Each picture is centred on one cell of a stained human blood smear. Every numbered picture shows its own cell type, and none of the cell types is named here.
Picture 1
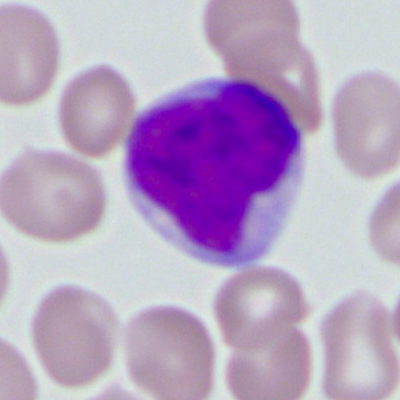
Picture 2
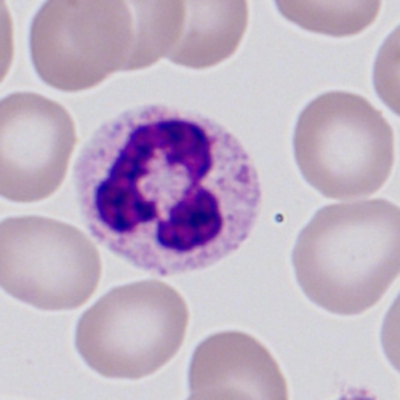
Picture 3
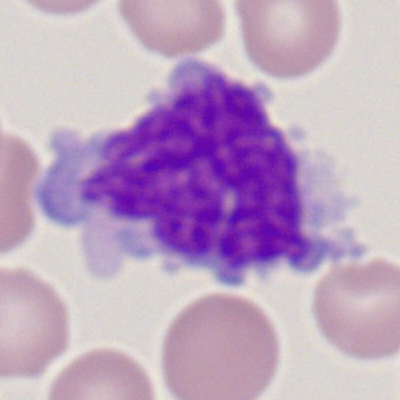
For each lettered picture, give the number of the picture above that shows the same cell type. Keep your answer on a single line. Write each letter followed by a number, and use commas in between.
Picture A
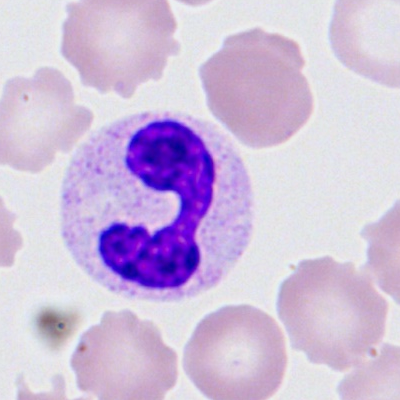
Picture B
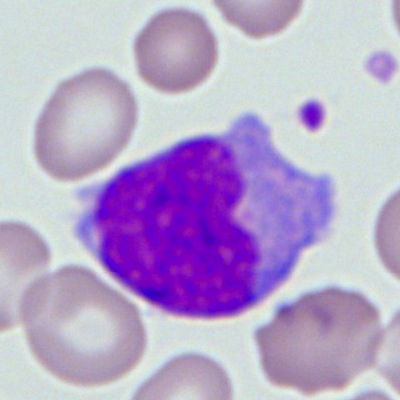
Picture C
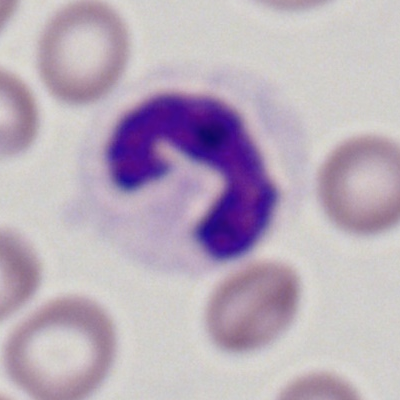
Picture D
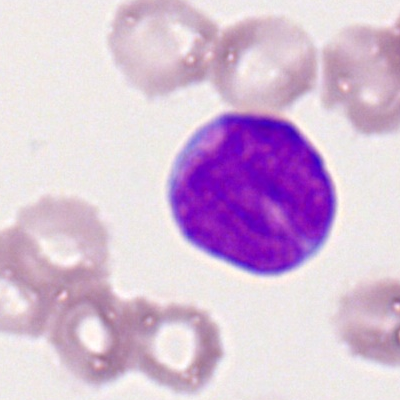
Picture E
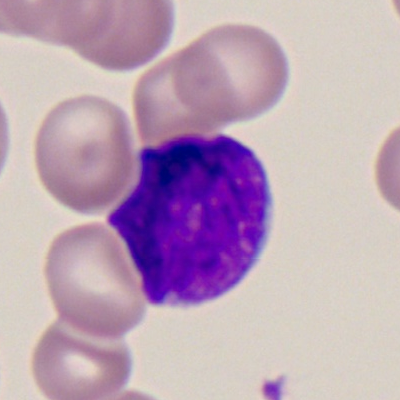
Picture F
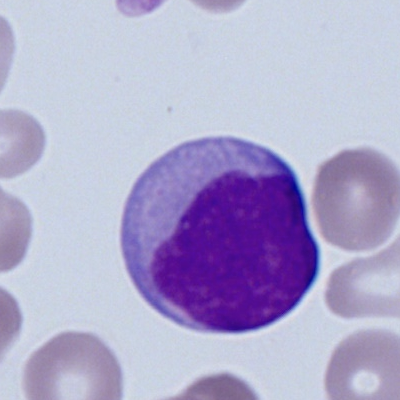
A 2, B 3, C 2, D 1, E 1, F 1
